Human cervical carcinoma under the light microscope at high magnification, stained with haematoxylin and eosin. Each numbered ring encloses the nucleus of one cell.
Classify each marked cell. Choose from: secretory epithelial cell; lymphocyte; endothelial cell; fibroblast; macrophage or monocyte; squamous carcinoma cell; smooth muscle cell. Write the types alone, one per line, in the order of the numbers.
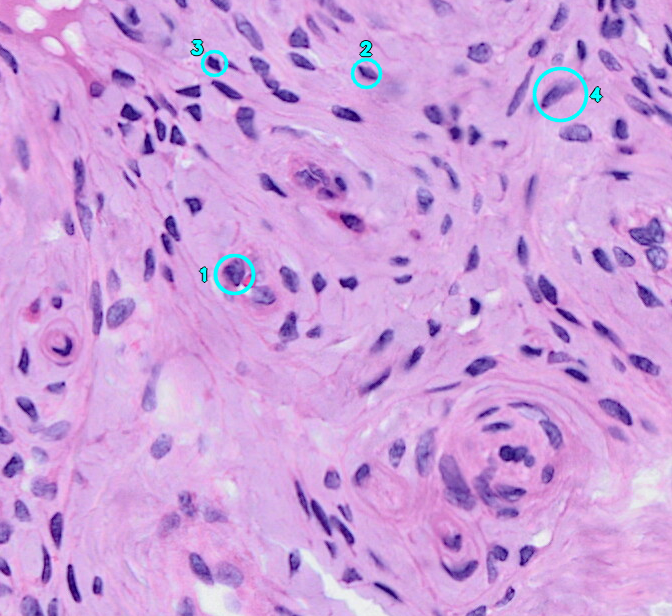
endothelial cell
fibroblast
fibroblast
fibroblast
